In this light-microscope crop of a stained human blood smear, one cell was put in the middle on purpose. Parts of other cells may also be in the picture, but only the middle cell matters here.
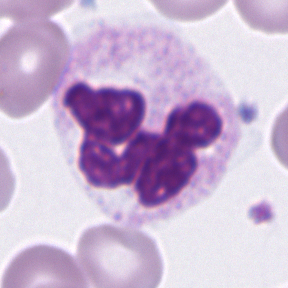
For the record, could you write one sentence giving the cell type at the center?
The identification for the central cell is a segmented neutrophil.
